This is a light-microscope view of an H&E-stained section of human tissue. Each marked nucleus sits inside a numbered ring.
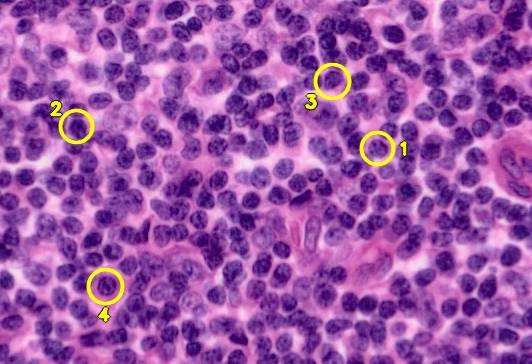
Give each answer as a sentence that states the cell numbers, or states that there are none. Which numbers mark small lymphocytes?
The cells numbered 1, 2 and 3 are identified as small lymphocytes.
